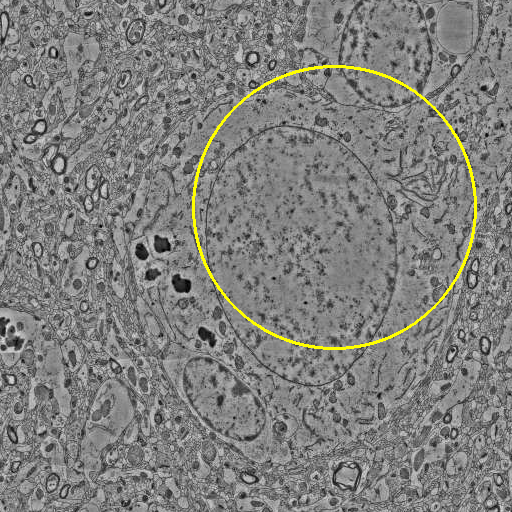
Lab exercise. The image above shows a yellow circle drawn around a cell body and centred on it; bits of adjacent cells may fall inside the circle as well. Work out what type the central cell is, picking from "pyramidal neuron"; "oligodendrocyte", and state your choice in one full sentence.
In the image above, the cell at the centre of the yellow circle is a pyramidal neuron.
